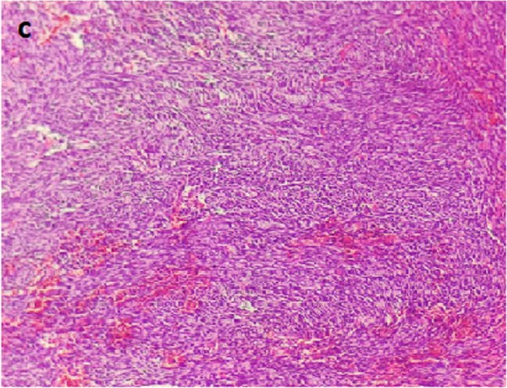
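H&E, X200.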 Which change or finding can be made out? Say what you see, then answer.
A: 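Hypercellular. Purple nuclei are densely crowded with little intervening stroma. Scattered red blood cells lie between the packed cells.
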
